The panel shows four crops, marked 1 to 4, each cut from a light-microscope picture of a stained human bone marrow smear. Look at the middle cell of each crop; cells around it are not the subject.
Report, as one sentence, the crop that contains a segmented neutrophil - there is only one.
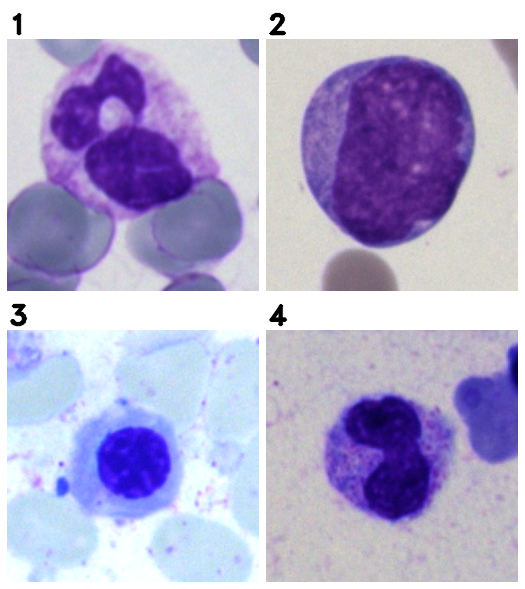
Look at crop 1; that is the one with a segmented neutrophil in its center.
